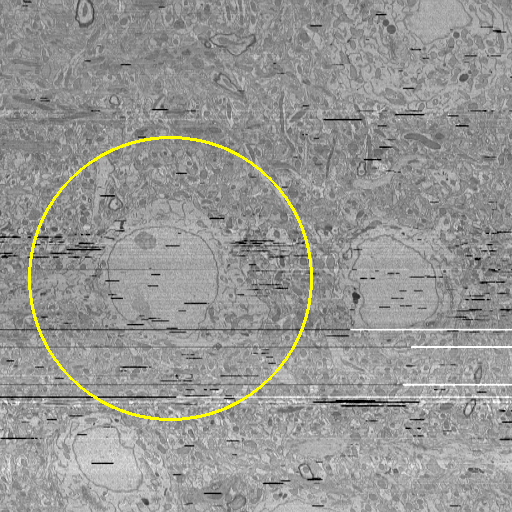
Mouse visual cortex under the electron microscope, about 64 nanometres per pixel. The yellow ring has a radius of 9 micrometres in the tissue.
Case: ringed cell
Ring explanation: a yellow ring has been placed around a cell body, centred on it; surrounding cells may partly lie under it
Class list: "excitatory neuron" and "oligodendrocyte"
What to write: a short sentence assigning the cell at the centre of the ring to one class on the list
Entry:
The cell at the ring's centre is an excitatory neuron.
